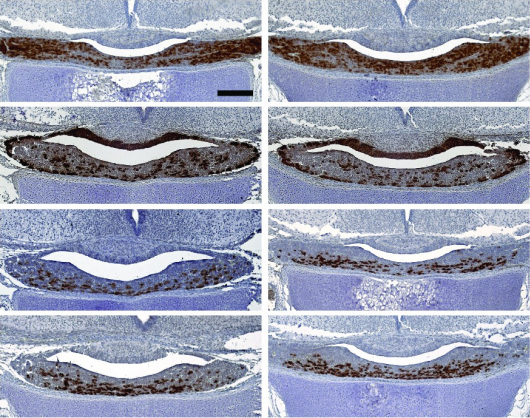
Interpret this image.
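Cross-sections of the pituitary gland, an elongated organ with a central cleft lying on blue cartilage. Brown-stained endocrine cells are scattered through the broad lower lobe among blue-counterstained cells, and in one row the thin layer above the cleft is also densely brown. The distribution of stained cells looks much alike in the left and right columns.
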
